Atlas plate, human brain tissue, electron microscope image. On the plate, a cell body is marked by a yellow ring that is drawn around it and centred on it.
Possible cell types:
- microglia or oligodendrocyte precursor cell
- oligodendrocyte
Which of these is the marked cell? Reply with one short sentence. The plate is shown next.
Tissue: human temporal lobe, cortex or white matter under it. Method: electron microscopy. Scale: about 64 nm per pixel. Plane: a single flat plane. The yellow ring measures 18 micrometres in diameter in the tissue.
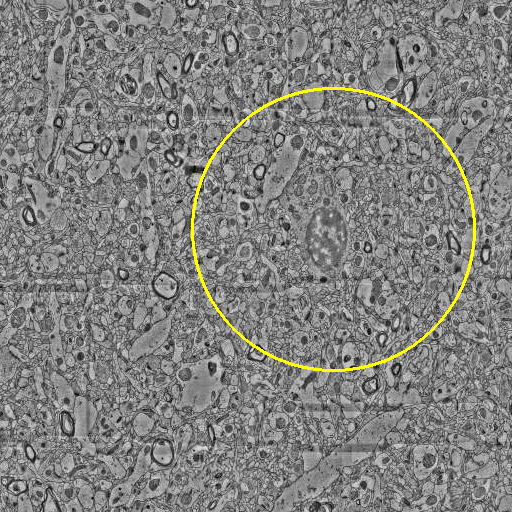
The marked cell is an oligodendrocyte.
